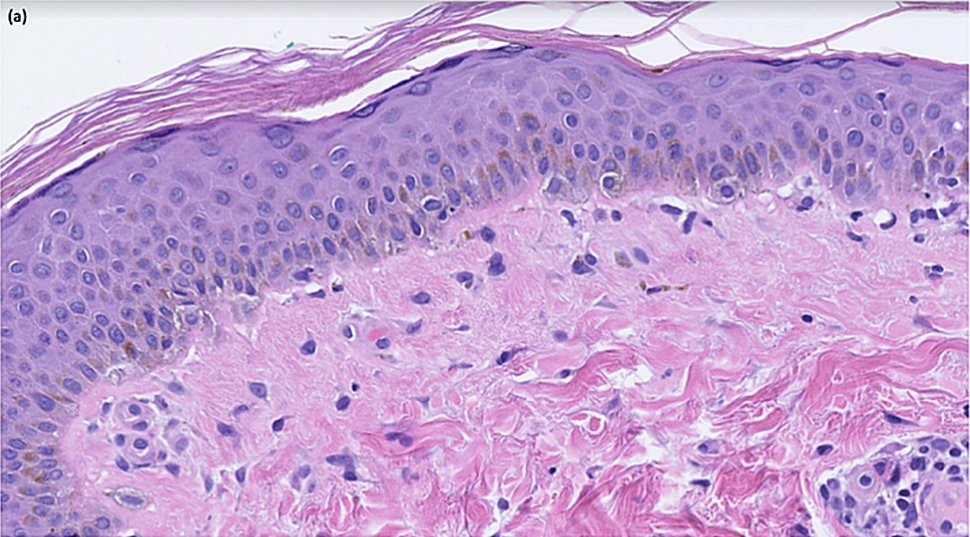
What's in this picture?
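This is skin showing the epidermis, a stratified squamous epithelium with a basket-weave cornified layer on top, above the pink collagenous dermis. The keratinocytes have round to oval purple nuclei, and the basal layer holds brown pigment. Along the lower border of the epidermis, small clear vacuoles lie in and beneath the basal cells, disturbing the junction with the dermis. In the dermis, small vessels are surrounded by a few small round dark-nucleated lymphocytes.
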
